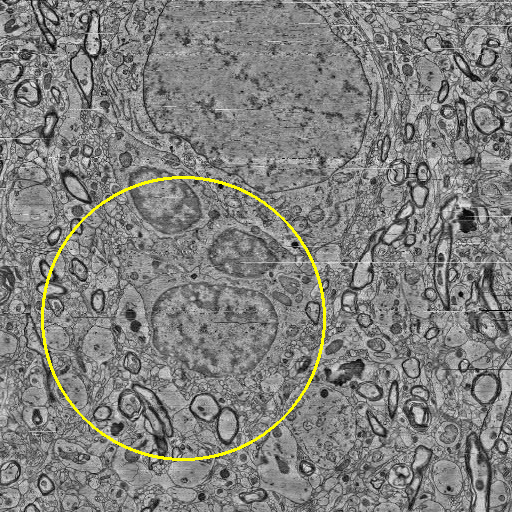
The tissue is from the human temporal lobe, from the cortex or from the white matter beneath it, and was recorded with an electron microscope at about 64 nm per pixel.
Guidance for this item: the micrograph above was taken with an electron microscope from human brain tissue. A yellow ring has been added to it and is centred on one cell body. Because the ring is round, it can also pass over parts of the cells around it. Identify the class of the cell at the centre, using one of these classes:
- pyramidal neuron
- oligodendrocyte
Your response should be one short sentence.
The ring surrounds the body of an oligodendrocyte.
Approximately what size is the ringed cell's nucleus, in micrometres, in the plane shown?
Approximately 8 micrometres long and 6 micrometres wide, in this plane.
